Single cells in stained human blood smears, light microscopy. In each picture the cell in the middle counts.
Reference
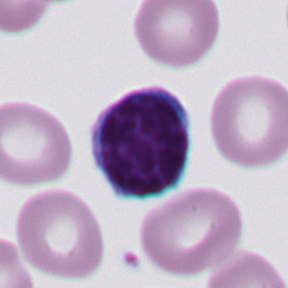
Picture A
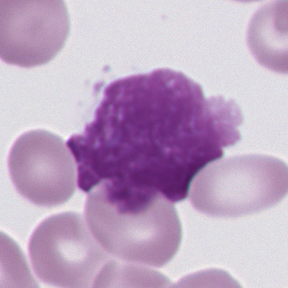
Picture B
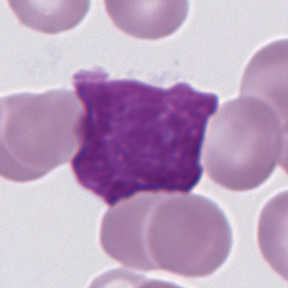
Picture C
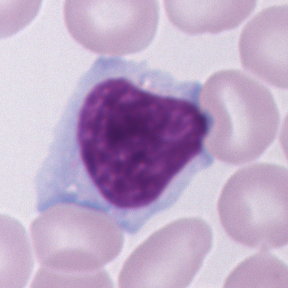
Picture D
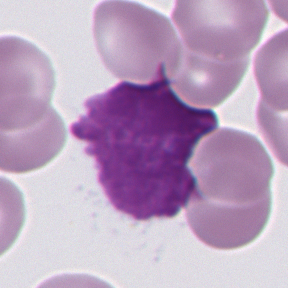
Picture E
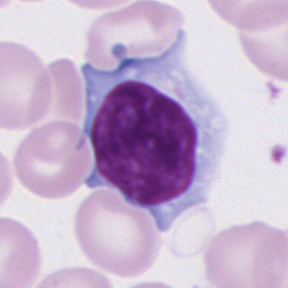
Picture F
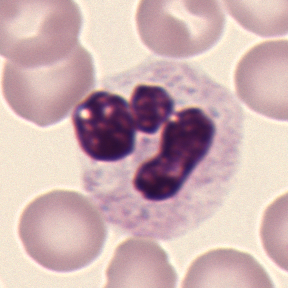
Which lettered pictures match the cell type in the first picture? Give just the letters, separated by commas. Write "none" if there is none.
C, E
